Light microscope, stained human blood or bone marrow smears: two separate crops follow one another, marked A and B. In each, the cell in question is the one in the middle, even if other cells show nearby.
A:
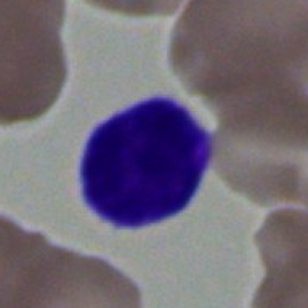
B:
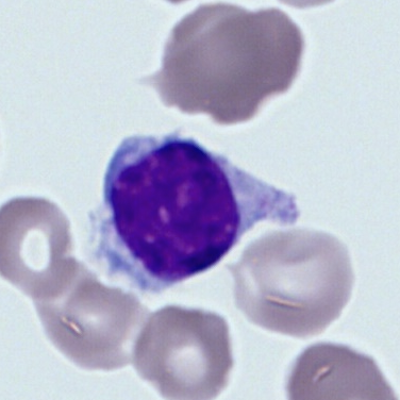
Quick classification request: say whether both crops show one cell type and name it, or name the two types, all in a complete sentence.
Yes, it is lymphocytes that both crops show.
